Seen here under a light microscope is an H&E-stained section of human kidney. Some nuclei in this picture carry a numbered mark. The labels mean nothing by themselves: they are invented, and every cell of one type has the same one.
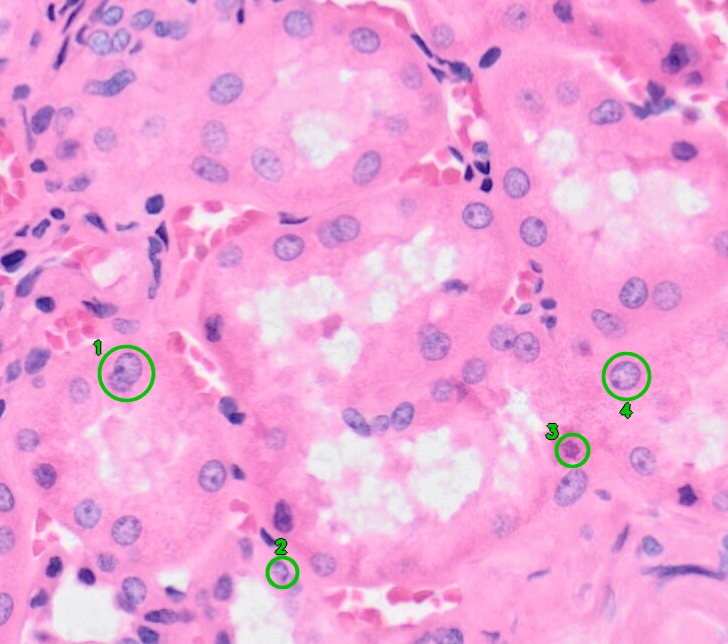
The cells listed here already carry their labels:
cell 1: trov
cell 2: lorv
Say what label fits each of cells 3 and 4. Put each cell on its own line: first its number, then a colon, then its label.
3: trov
4: trov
